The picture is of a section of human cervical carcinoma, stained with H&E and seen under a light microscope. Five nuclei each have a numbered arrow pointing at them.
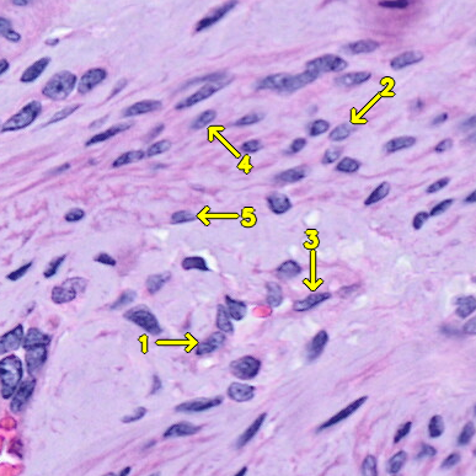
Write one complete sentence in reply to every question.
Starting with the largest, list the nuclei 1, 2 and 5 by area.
The nuclei rank 1, 2, 5, from largest to smallest.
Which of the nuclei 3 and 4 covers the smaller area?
With nucleus 3 about 1.5 times its size, nucleus 4 is the smaller of the two.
